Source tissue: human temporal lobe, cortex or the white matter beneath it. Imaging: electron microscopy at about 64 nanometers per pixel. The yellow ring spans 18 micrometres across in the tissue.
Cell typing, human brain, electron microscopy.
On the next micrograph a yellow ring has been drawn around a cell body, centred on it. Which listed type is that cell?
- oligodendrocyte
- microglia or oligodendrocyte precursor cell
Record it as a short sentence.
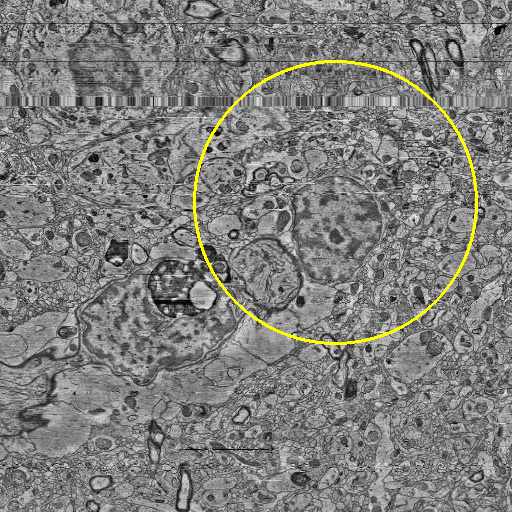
The cell body in the ring's centre belongs to an oligodendrocyte.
